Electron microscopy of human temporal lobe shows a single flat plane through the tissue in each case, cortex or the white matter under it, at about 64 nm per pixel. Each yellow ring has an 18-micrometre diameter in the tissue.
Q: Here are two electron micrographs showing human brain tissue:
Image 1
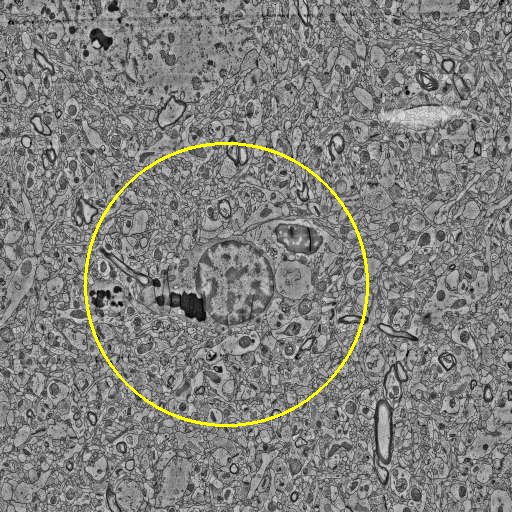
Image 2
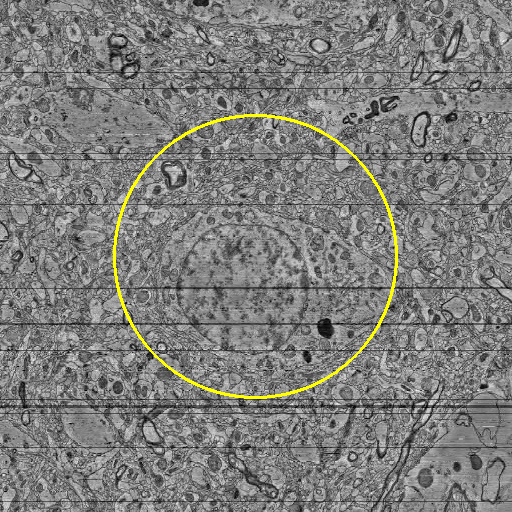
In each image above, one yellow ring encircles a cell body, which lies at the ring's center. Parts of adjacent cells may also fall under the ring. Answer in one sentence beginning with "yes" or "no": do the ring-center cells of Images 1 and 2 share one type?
No, in Images 1 and 2, the ring-center cells are of two types.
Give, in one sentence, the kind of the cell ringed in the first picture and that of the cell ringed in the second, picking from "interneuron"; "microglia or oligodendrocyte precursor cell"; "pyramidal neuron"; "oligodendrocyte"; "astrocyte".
For the first picture it is an oligodendrocyte; for the second, an interneuron.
